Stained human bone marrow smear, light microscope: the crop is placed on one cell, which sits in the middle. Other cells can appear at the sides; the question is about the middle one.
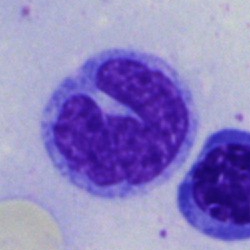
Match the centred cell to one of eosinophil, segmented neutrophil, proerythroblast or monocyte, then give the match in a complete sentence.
The identification for the central cell is a monocyte.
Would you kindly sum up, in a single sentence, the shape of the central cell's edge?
The membrane contour is even and smooth, with nothing projecting from it.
